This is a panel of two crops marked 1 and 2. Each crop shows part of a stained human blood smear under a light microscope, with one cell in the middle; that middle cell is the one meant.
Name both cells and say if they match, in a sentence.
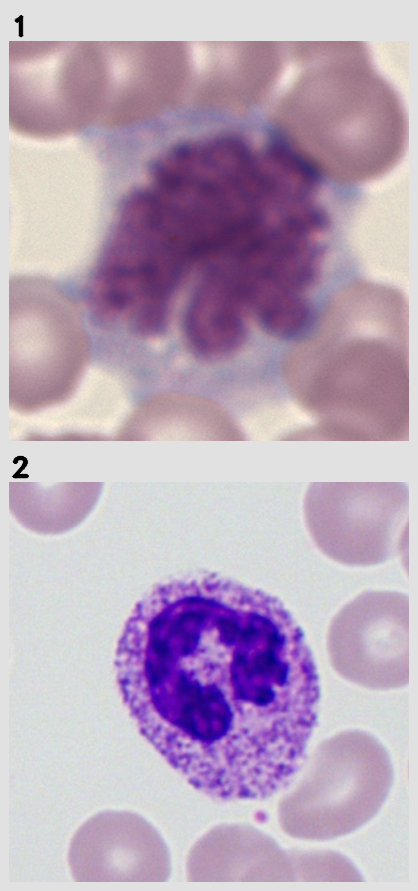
No, crop 1 carries a monocyte at its centre, and crop 2 carries a segmented neutrophil.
